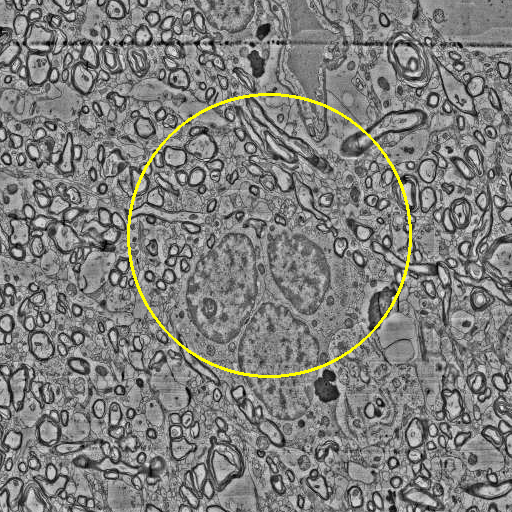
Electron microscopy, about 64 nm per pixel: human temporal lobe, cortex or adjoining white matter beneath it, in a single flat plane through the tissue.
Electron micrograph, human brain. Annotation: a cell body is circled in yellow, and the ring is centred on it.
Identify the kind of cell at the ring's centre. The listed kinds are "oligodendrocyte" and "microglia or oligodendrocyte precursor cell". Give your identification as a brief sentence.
The circled cell body is that of an oligodendrocyte.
